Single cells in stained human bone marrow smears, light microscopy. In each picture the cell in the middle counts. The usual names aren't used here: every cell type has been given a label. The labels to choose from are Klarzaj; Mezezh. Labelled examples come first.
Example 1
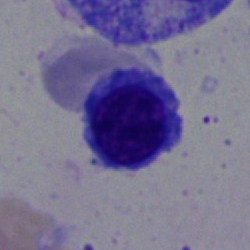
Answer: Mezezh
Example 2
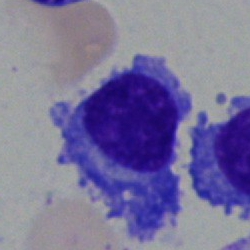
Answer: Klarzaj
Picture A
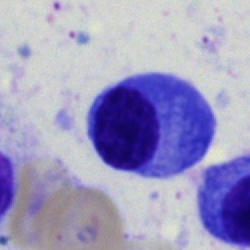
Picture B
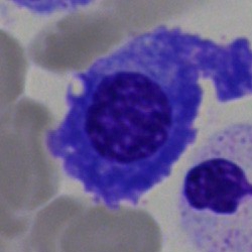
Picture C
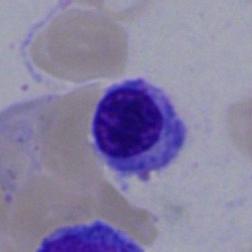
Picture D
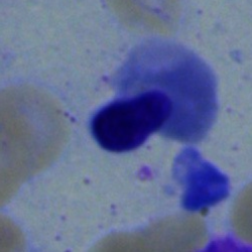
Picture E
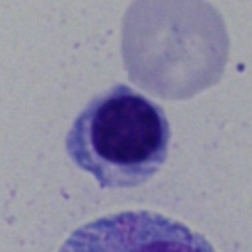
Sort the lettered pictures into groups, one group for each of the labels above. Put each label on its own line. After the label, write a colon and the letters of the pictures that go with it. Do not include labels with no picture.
Klarzaj: A, B
Mezezh: C, D, E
